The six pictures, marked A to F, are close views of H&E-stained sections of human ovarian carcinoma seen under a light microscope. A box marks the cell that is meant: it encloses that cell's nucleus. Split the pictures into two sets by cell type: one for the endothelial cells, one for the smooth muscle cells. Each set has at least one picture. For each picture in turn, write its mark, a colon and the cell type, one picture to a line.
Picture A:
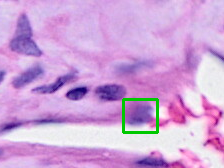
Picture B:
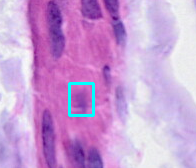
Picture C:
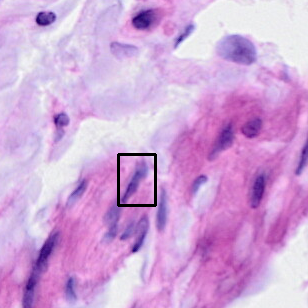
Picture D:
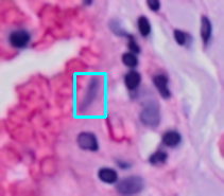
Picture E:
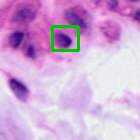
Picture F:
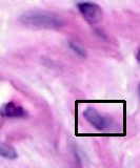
A: endothelial cell
B: smooth muscle cell
C: smooth muscle cell
D: endothelial cell
E: smooth muscle cell
F: smooth muscle cell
